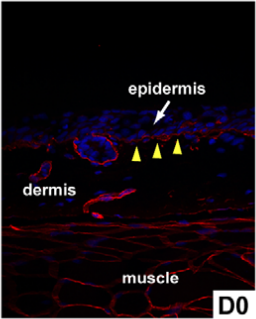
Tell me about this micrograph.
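In the dermis, small round and oval profiles are rimmed by red, and the muscle fibres lower down are each outlined by a fine red network, giving a polygonal mosaic. The dermis itself holds scattered nuclei and little red signal apart from these outlines.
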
